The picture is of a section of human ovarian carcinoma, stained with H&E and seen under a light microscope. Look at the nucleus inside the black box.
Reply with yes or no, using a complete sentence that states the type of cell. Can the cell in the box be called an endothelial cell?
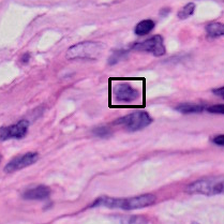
No, the cell in the box is reported as a lymphocyte rather than an endothelial cell.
